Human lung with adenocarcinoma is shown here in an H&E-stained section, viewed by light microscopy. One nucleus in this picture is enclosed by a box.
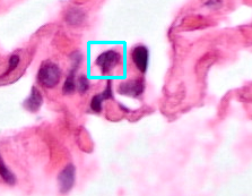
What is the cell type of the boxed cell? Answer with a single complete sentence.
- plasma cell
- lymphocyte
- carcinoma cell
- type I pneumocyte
Assigned to a cell type, the boxed cell is a type I pneumocyte.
